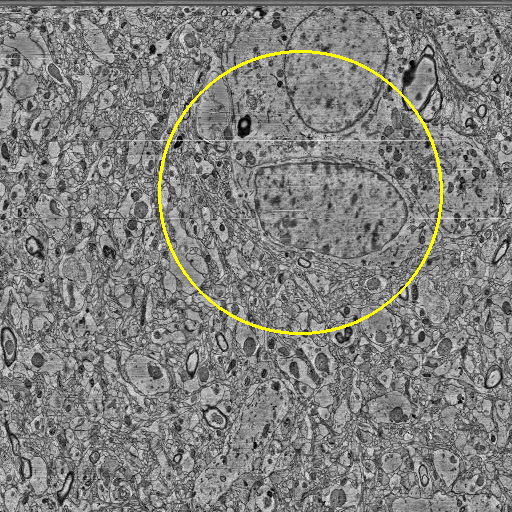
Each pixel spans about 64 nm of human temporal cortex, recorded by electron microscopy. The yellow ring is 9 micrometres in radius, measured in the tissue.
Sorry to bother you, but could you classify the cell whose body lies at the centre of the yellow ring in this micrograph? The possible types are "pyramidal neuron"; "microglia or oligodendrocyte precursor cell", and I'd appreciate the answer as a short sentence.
The ringed cell body is that of a microglial cell or oligodendrocyte precursor cell.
